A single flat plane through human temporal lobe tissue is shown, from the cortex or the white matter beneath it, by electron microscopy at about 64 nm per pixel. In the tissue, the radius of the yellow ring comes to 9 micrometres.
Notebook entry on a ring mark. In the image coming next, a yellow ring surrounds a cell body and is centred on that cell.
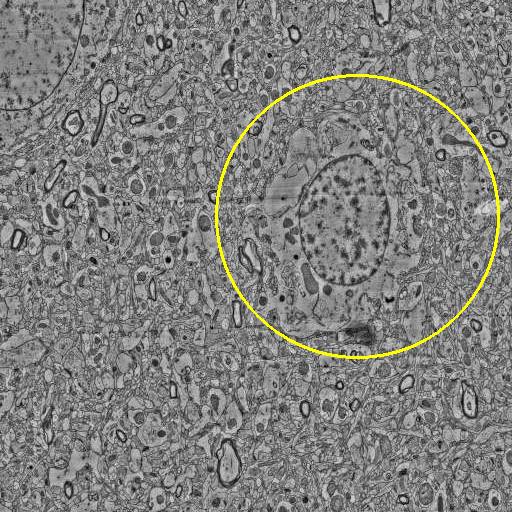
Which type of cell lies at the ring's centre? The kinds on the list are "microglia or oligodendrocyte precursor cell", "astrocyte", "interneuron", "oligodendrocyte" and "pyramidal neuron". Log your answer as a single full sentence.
Centred in the yellow ring is an astrocyte, the cell recorded for this image.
